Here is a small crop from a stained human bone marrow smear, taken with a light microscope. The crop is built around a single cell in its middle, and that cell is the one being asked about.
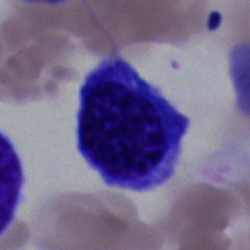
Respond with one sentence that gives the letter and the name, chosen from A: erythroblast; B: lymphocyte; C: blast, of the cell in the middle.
The centrally positioned cell is an erythroblast, consistent with option A, which is correct.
